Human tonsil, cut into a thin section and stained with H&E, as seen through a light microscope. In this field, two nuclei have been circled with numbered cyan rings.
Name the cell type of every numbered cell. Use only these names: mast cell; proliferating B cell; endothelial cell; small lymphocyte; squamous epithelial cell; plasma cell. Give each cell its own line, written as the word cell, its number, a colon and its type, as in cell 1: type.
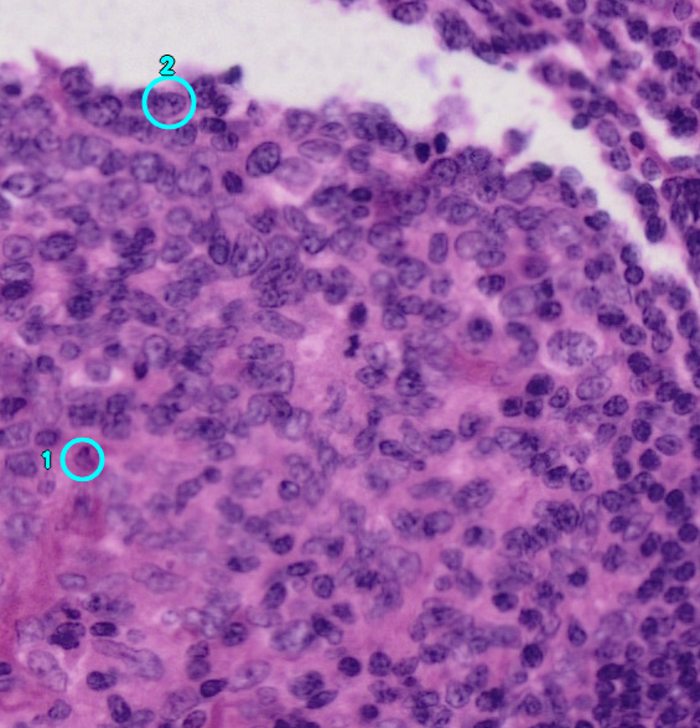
cell 1: endothelial cell
cell 2: proliferating B cell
